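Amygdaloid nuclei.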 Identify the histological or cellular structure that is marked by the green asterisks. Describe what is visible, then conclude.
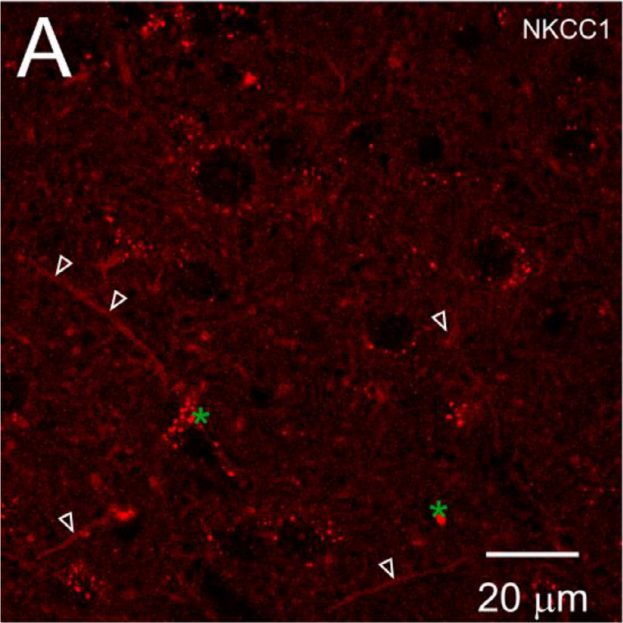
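Agglomerates of lipofuscin. The asterisks mark small clusters of bright red granules. The clusters are brighter than the surrounding fine puncta.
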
